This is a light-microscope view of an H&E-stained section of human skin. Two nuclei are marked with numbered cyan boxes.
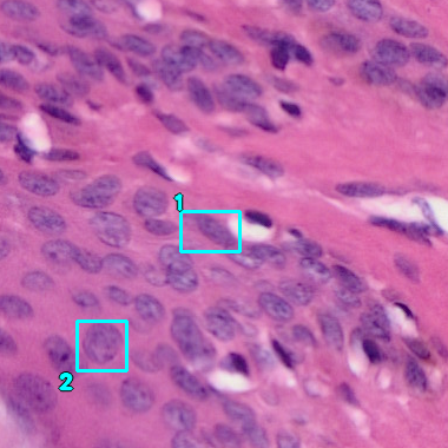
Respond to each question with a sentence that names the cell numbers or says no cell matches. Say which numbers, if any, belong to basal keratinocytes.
Only at number 1 is there a basal keratinocyte.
